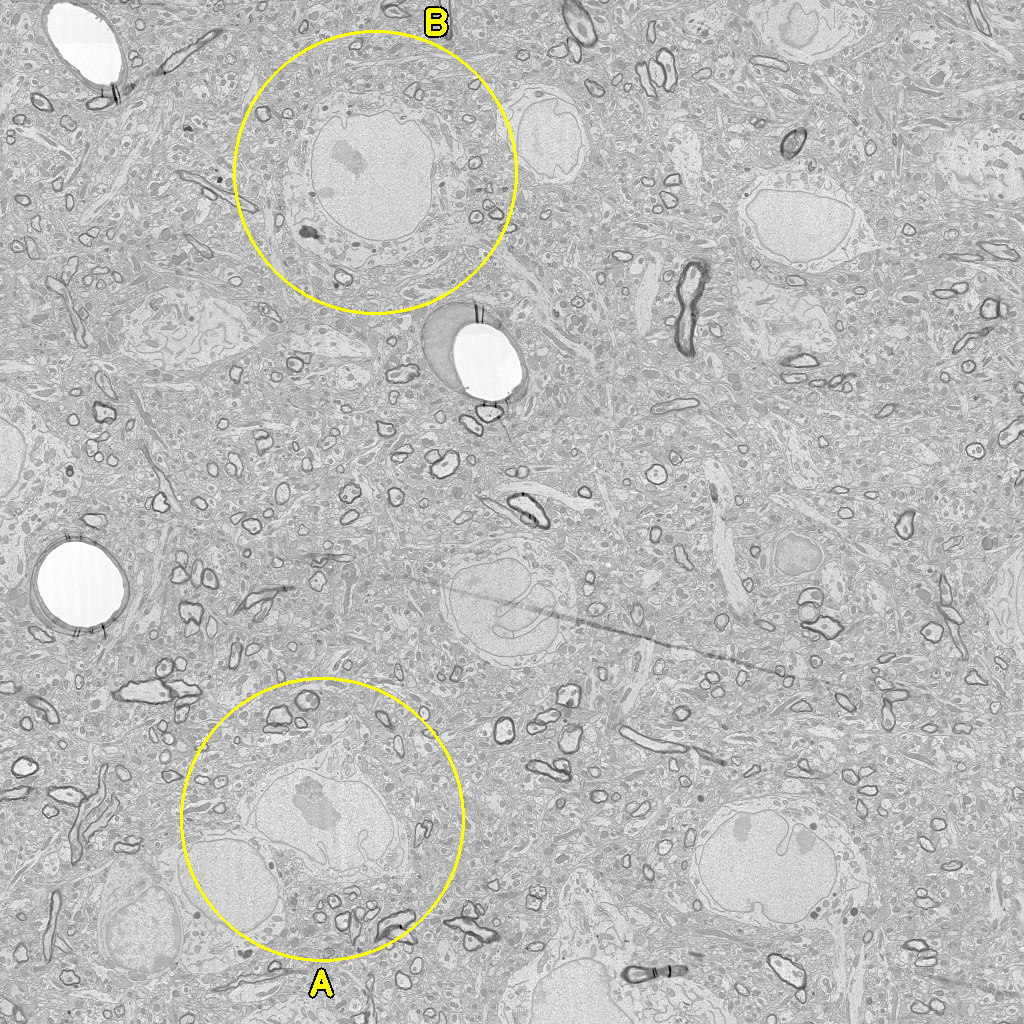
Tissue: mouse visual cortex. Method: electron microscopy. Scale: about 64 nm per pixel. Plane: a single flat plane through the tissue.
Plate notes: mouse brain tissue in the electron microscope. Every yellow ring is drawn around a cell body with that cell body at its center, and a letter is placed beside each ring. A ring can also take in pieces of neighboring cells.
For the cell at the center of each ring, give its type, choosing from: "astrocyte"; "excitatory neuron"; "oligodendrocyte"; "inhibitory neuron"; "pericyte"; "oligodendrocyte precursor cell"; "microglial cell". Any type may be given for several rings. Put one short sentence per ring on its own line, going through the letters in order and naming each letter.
Ring A shows an inhibitory neuron at the center.
Ring B shows an excitatory neuron at the center.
